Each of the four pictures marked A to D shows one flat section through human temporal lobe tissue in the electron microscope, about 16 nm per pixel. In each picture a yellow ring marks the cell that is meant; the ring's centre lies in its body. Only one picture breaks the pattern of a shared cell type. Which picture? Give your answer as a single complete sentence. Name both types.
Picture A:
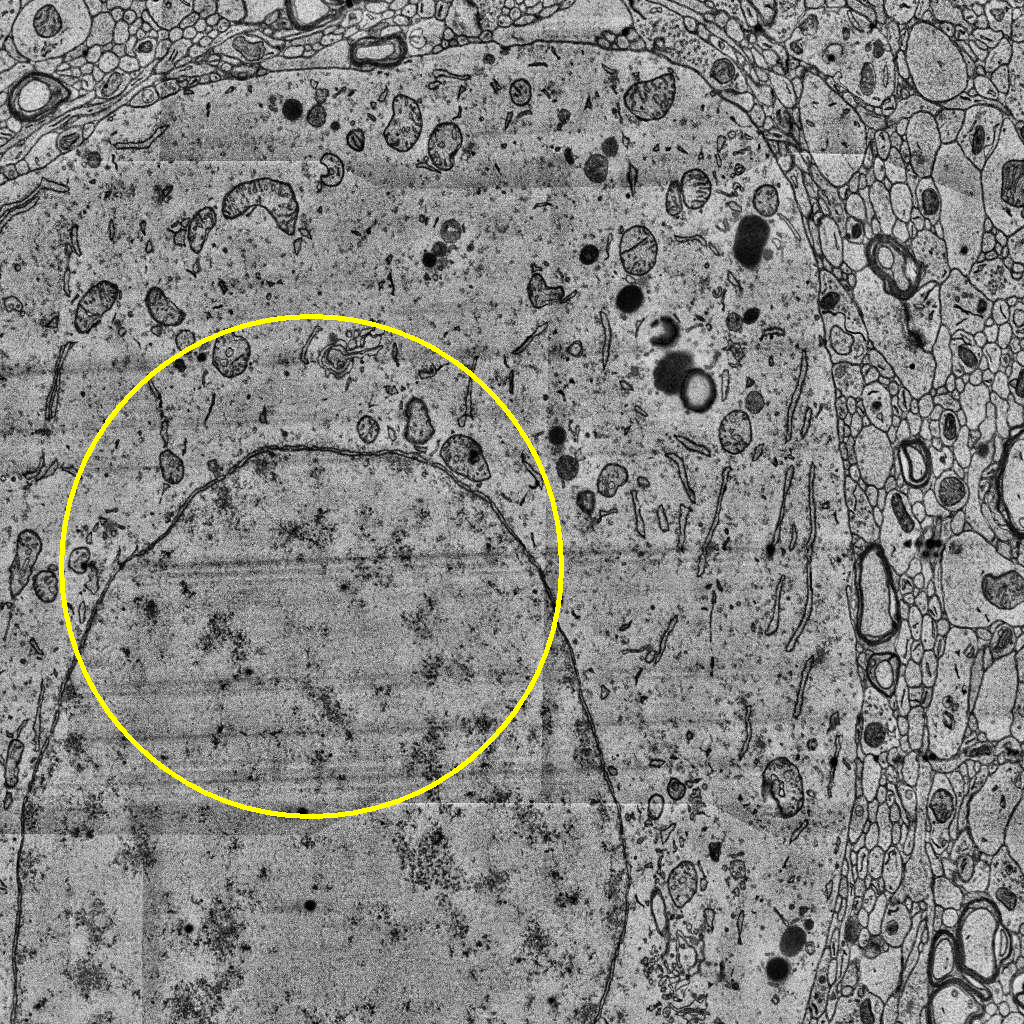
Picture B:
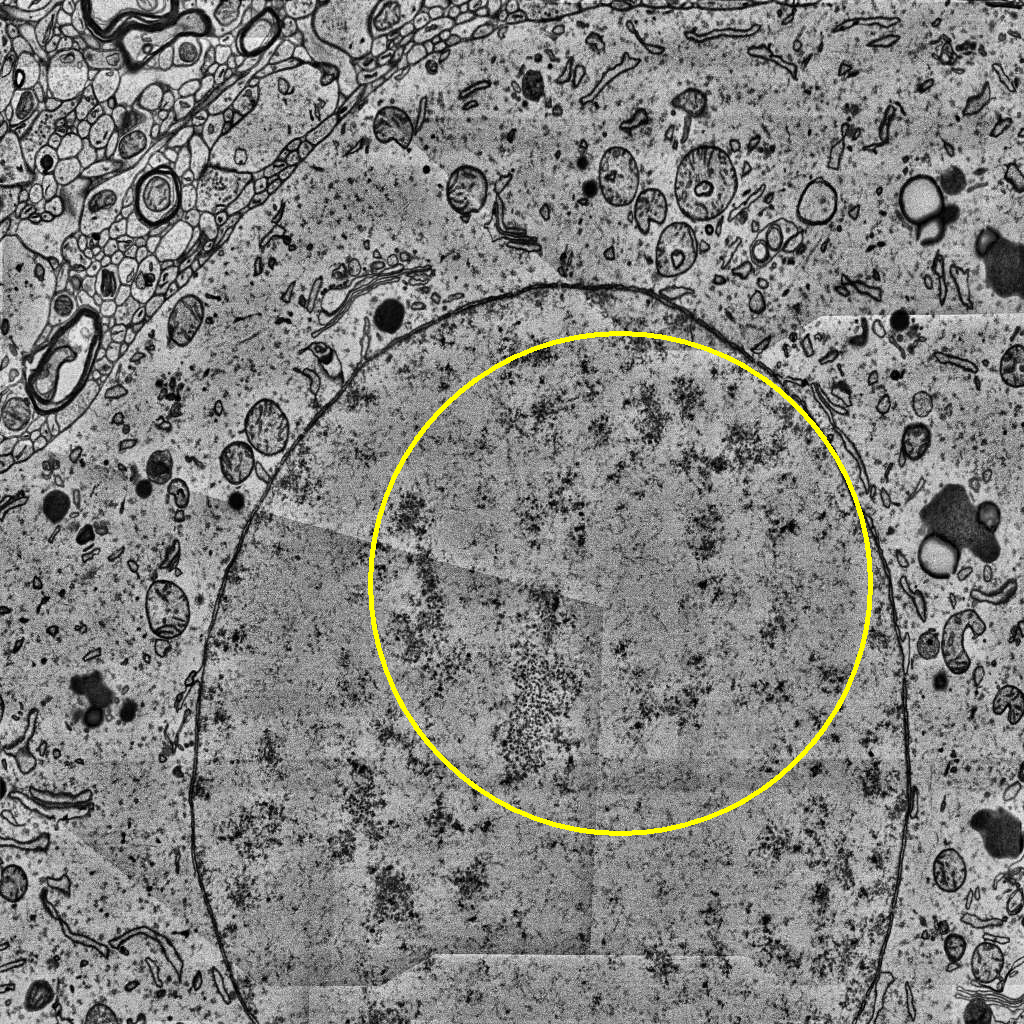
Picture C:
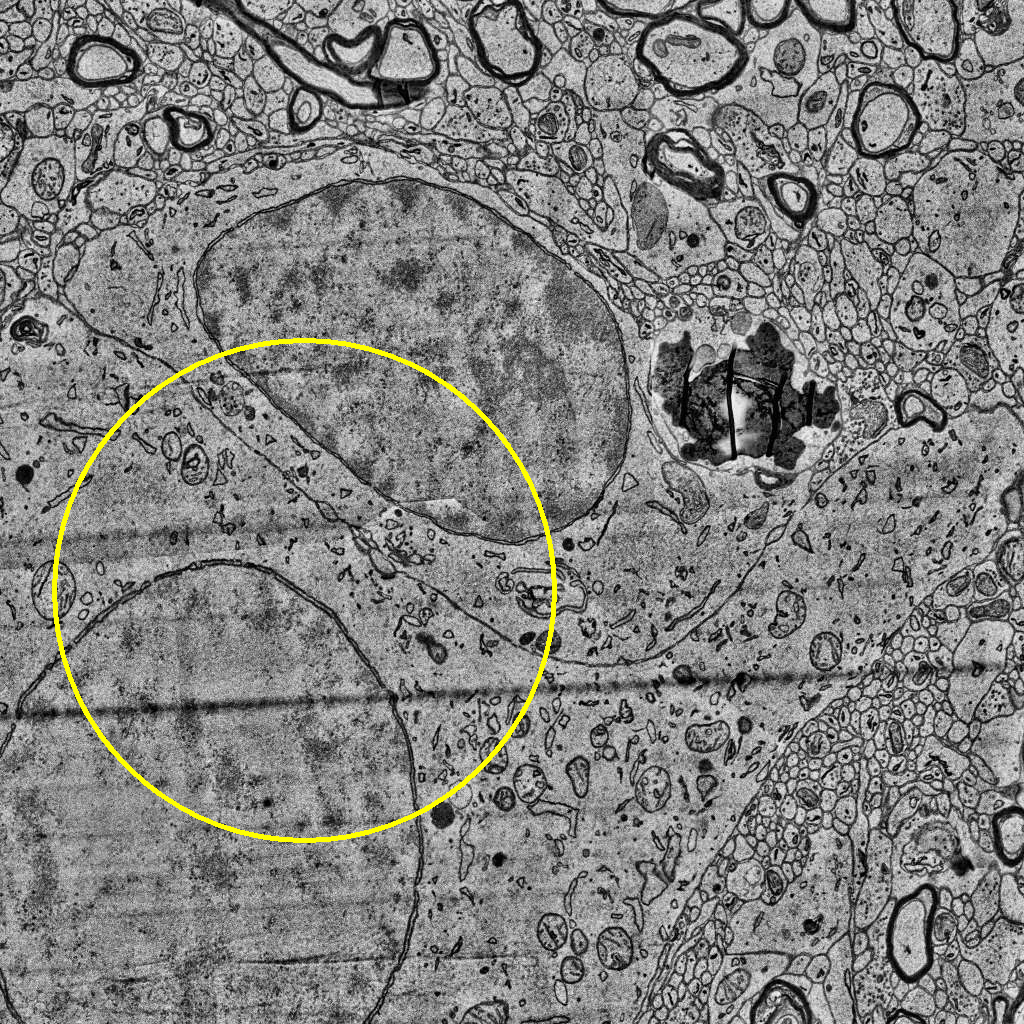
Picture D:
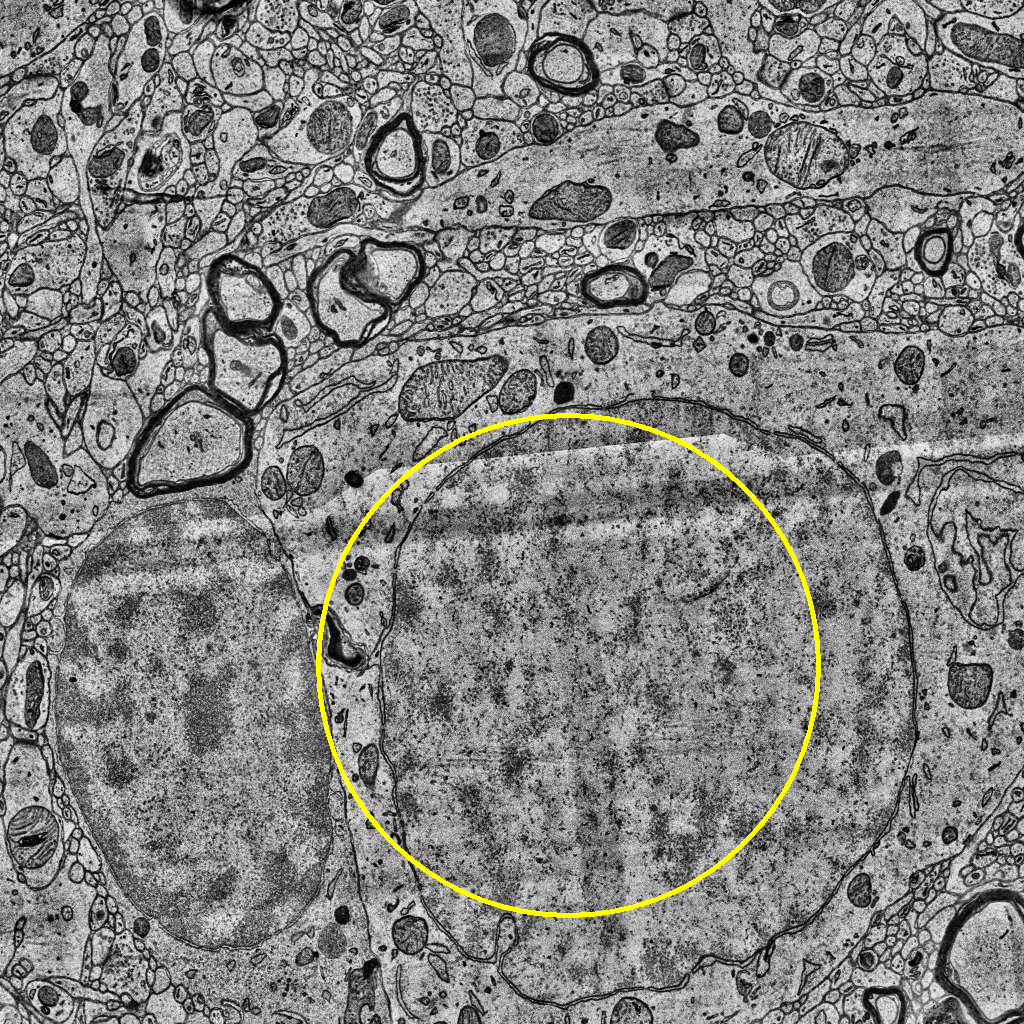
Picture C is the odd one out: it shows an oligodendrocyte, while the others show pyramidal neurons.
